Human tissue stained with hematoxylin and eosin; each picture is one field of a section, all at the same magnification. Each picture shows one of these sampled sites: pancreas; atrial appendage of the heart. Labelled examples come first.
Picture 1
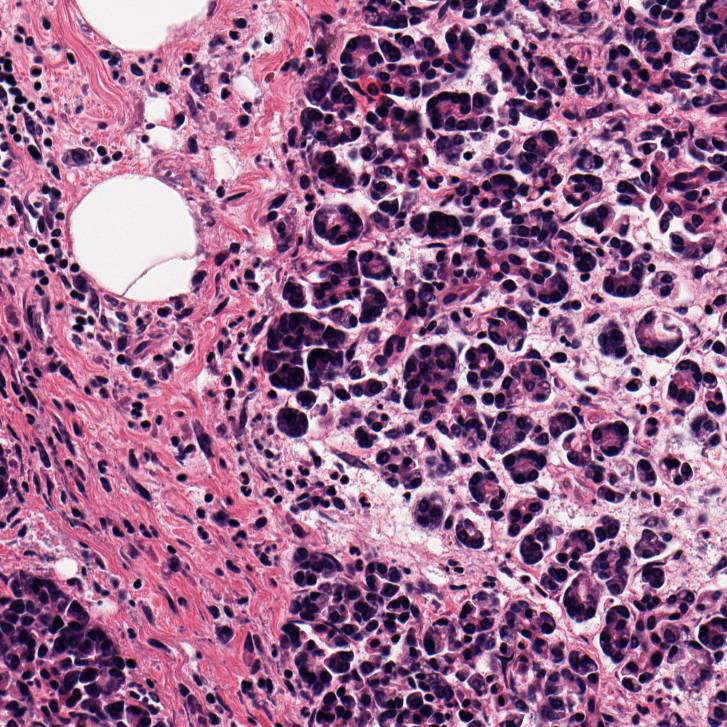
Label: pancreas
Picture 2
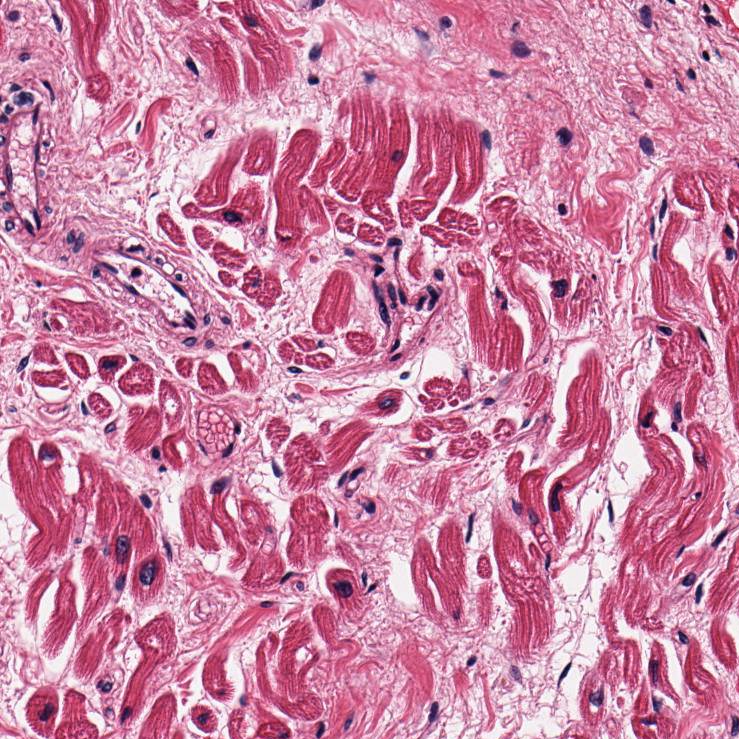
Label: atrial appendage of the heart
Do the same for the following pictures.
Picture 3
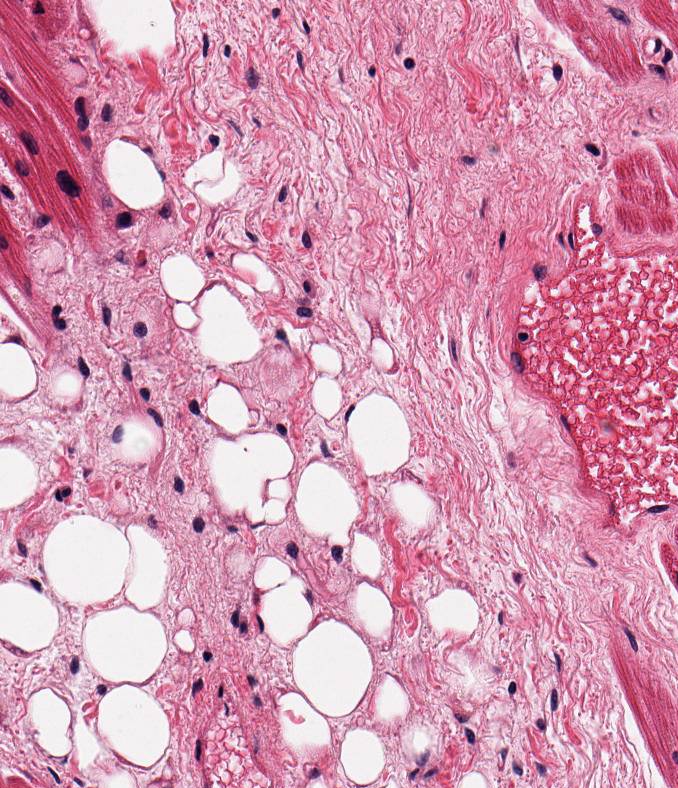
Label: atrial appendage of the heart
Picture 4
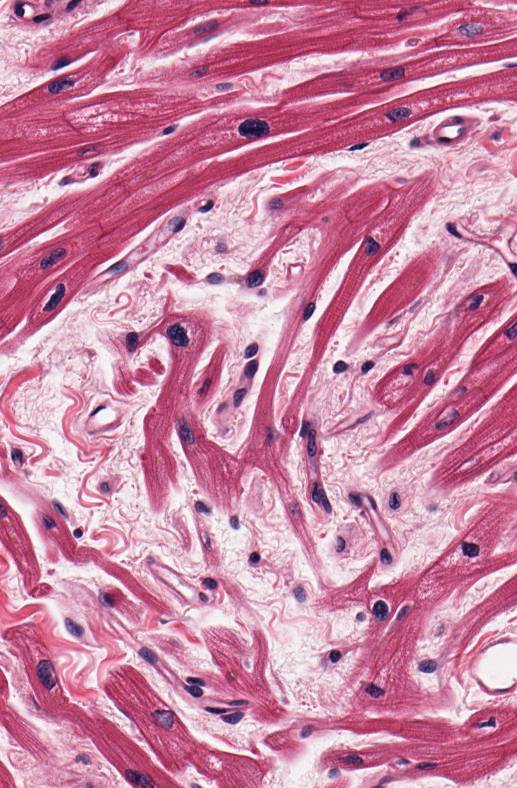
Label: atrial appendage of the heart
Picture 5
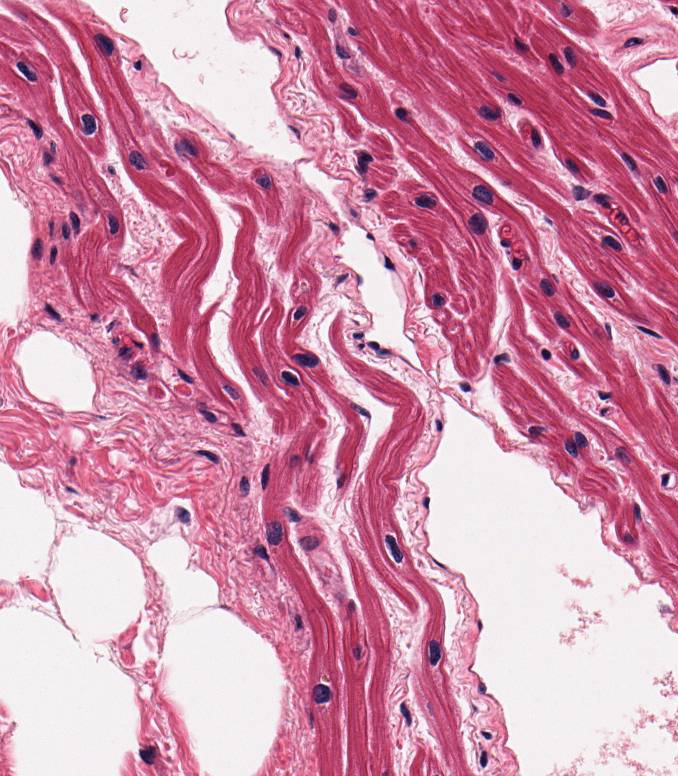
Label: atrial appendage of the heart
